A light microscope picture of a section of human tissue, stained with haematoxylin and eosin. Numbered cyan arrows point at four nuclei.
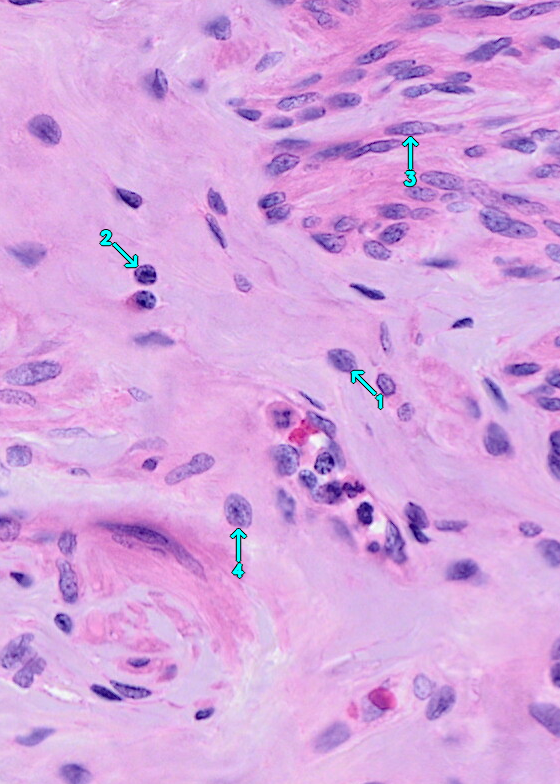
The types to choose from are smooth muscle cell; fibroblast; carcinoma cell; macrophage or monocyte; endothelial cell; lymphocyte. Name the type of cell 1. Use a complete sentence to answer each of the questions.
The cell bearing label 1 corresponds to a fibroblast.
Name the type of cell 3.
Number 3 is placed on a smooth muscle cell here.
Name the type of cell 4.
The cell whose nucleus carries the number 4 is a fibroblast.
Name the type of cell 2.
The numbered cell 2 is identified here as a lymphocyte.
